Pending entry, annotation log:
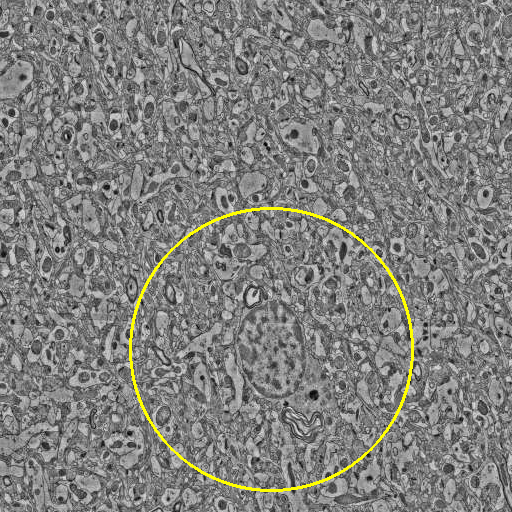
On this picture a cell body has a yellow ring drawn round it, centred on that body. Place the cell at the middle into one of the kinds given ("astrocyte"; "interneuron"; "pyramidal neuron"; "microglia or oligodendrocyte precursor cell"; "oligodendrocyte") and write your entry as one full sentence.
The cell body at the middle of the yellow ring belongs to an oligodendrocyte.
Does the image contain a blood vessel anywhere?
No, the image shows no blood vessel.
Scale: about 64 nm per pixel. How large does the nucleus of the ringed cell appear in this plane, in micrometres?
The ringed cell's nucleus is about 6 micrometres long and 5 micrometres wide in this plane.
